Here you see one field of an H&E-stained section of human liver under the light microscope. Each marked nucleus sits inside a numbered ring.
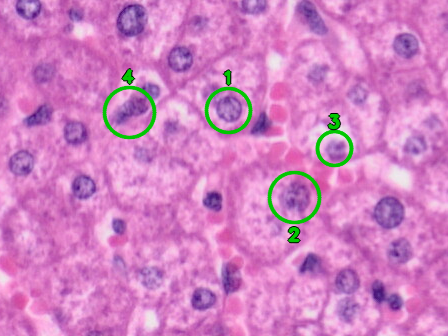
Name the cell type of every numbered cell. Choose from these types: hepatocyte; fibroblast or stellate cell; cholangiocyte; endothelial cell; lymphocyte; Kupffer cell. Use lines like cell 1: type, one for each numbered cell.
cell 1: hepatocyte
cell 2: hepatocyte
cell 3: hepatocyte
cell 4: Kupffer cell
